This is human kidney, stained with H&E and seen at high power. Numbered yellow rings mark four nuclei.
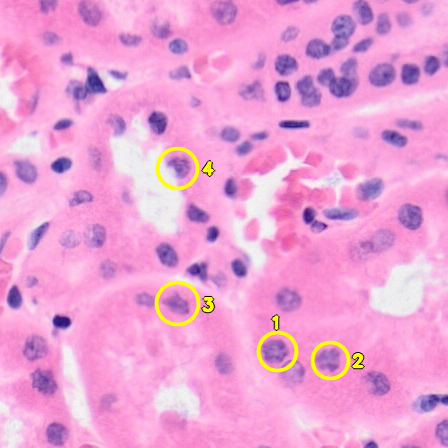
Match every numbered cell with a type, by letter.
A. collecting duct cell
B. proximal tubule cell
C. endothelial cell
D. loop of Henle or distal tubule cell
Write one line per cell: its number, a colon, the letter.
1: B
2: B
3: B
4: D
